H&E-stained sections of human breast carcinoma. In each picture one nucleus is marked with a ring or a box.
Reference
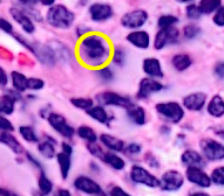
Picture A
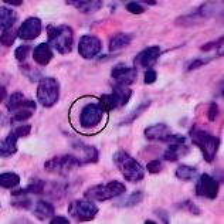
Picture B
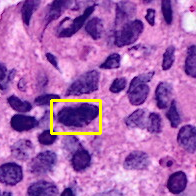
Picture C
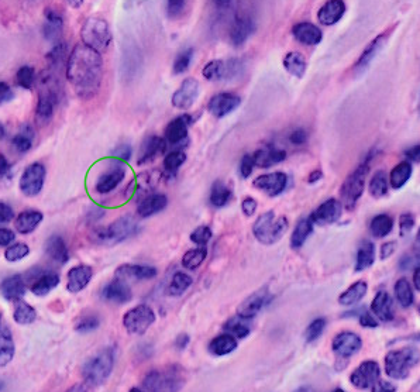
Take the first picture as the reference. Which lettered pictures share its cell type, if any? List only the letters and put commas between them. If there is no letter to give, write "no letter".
A, C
